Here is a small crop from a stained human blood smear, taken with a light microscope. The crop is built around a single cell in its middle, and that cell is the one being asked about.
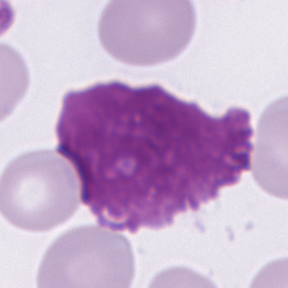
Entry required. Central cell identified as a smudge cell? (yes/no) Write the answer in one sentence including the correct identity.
Yes, within this crop, the central cell is a smudge cell.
